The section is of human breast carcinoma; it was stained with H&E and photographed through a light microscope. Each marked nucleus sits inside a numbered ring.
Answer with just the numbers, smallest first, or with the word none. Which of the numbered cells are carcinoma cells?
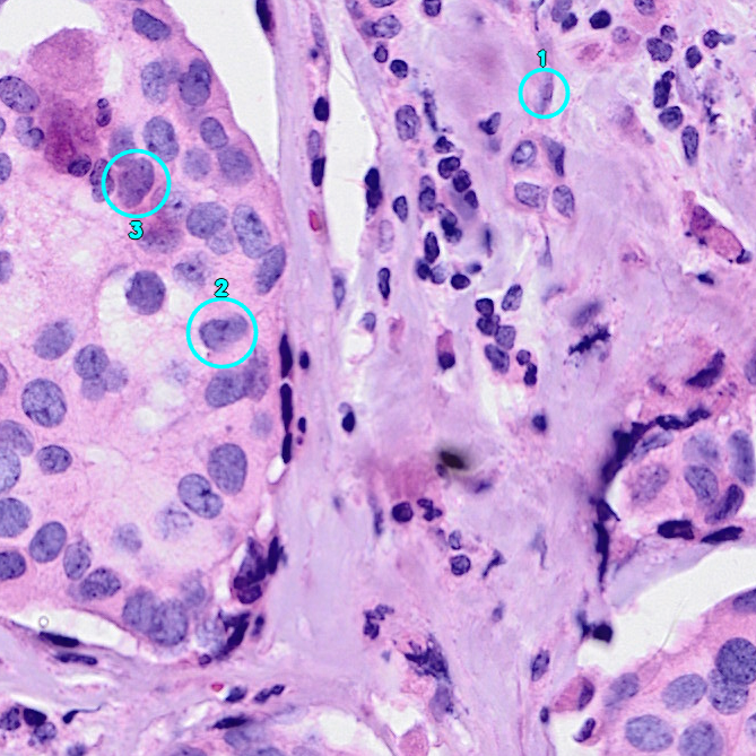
2, 3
